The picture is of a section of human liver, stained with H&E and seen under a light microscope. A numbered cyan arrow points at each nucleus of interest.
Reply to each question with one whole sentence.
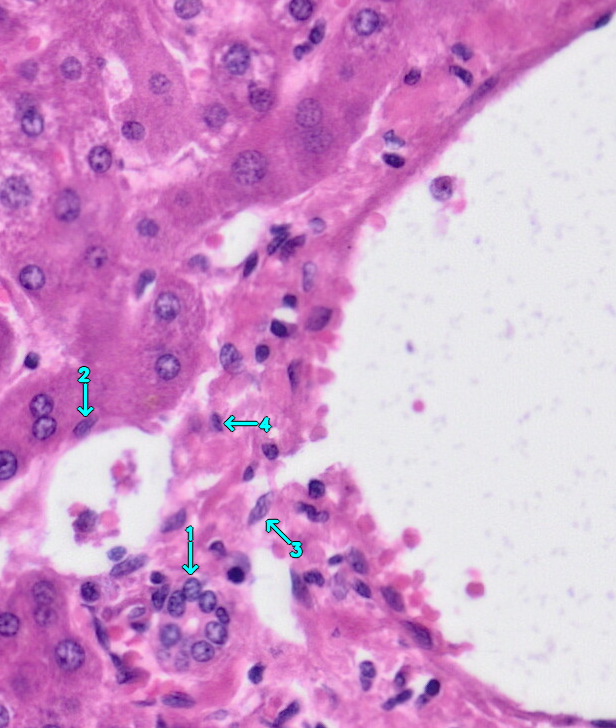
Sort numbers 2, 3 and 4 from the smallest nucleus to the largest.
Smallest first, the nuclei run 4, 2, 3.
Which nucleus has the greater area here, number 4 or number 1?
Nucleus 1 is larger, with an area about 1.5 times that of nucleus 4.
